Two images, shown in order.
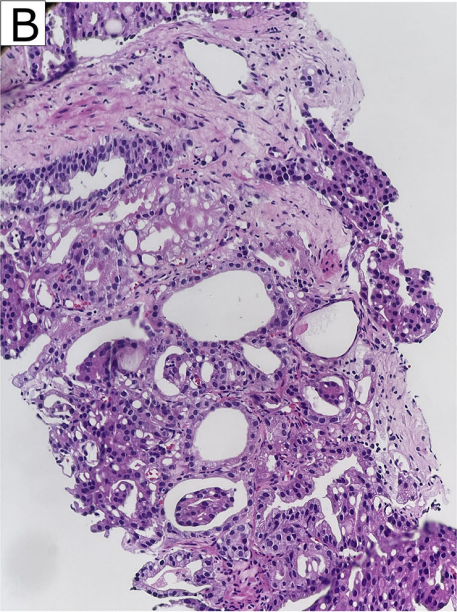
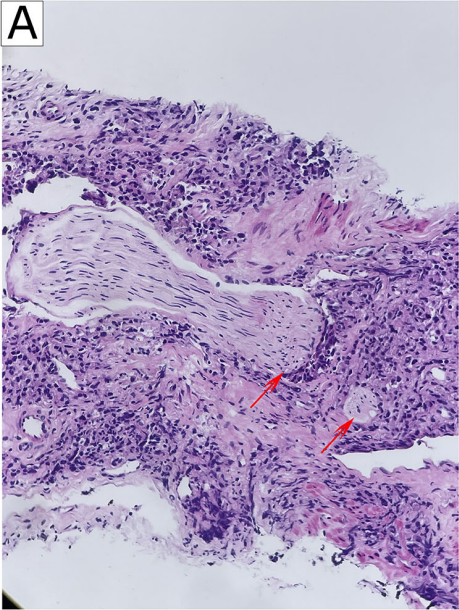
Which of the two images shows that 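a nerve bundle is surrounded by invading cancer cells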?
The second image.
